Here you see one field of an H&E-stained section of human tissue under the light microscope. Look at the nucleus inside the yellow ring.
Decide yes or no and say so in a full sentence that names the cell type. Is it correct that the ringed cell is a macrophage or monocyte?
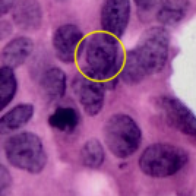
No, the ringed cell is scored as a carcinoma cell and not as a macrophage or monocyte.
